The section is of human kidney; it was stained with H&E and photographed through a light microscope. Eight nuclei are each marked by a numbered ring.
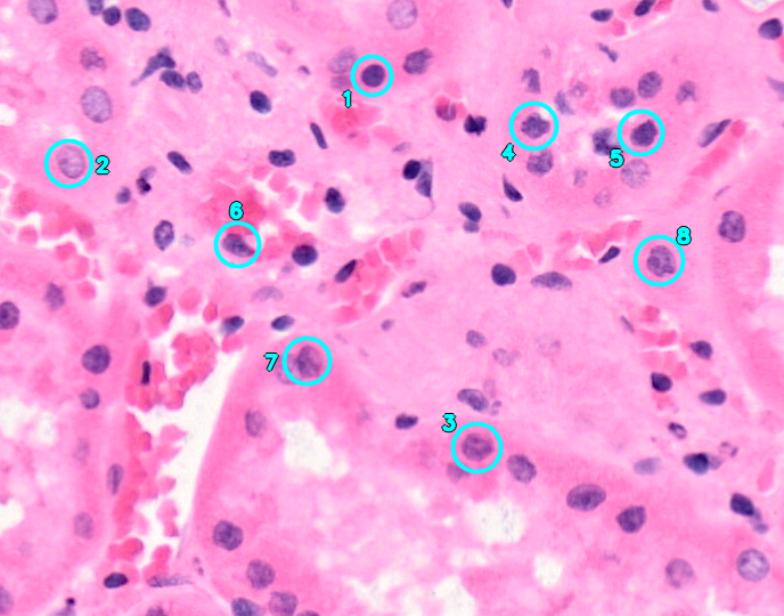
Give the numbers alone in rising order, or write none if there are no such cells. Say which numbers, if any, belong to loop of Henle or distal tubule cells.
4, 5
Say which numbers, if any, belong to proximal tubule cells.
1, 2, 3, 7, 8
